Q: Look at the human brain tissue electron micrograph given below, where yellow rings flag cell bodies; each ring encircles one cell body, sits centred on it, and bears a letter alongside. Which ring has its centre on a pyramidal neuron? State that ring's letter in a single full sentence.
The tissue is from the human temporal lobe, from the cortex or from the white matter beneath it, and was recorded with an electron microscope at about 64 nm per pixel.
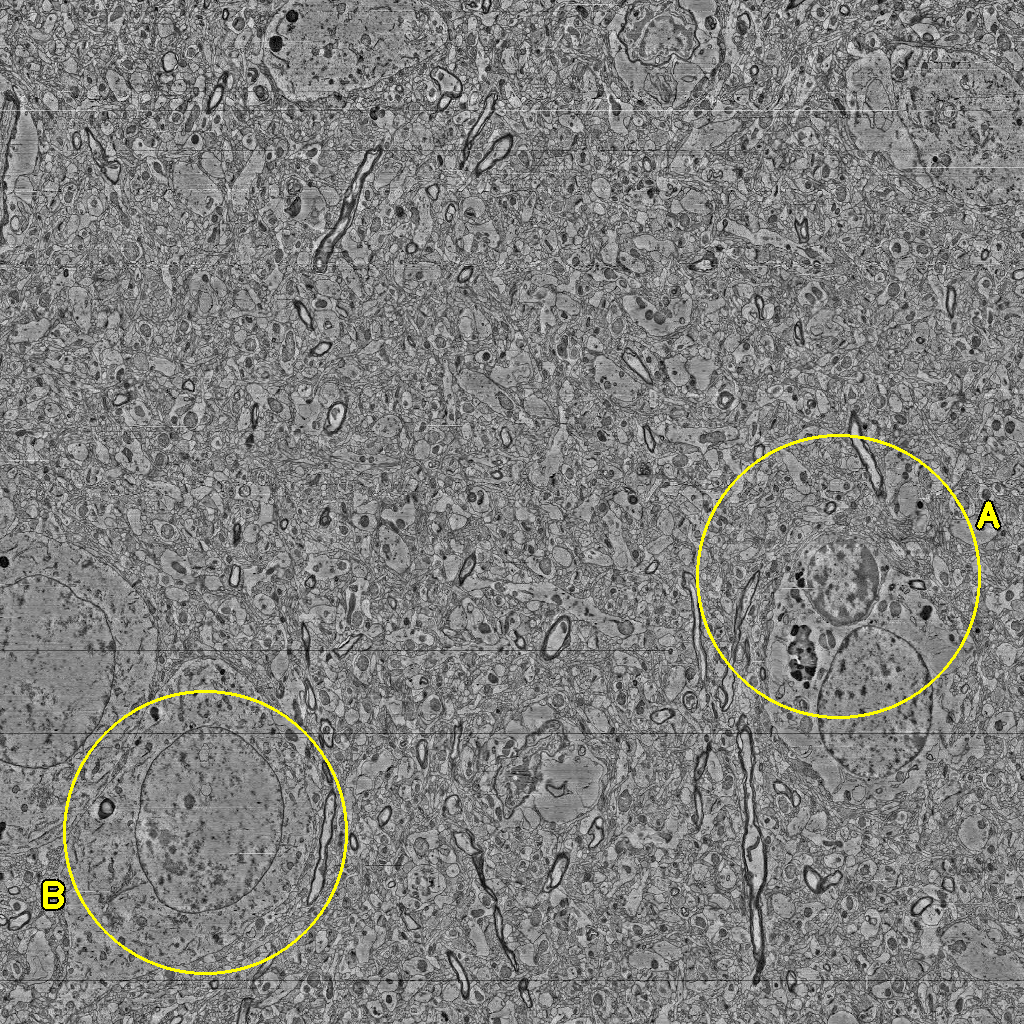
In the picture, the cell of that kind sits at the centre of ring B.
